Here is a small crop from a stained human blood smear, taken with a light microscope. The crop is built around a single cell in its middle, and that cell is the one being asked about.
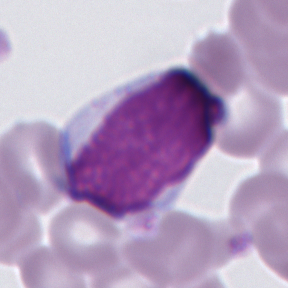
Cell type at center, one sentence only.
To answer, the cell in the center of the crop is a large granular lymphocyte.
